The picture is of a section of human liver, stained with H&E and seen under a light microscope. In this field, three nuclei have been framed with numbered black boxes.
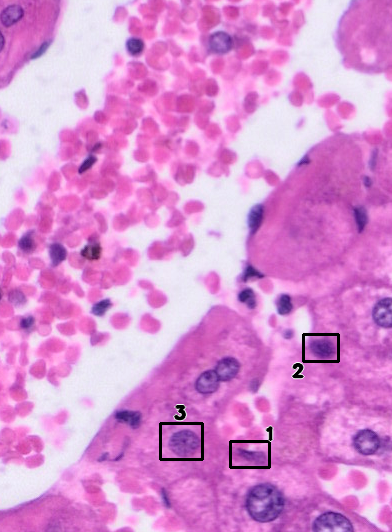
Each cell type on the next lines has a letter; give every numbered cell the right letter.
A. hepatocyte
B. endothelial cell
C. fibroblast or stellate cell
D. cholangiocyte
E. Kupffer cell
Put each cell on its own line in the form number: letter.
1: B
2: C
3: A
